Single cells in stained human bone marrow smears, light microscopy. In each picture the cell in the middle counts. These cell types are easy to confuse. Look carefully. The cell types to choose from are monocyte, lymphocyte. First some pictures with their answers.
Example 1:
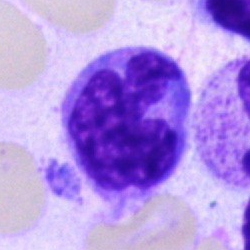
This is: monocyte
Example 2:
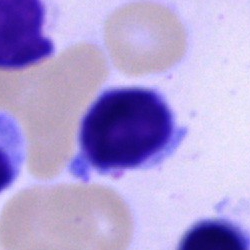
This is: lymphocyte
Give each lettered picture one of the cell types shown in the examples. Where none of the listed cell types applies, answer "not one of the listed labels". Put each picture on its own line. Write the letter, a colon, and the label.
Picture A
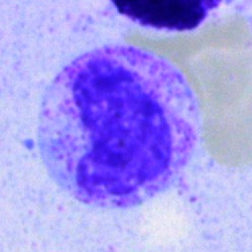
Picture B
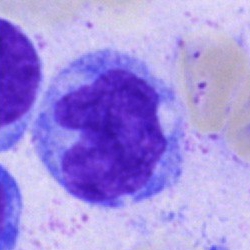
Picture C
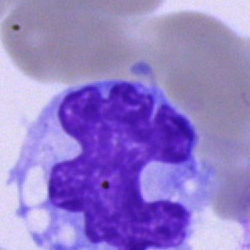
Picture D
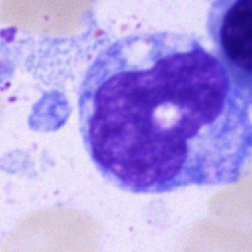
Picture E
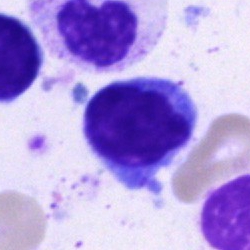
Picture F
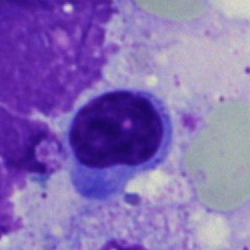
A: not one of the listed labels
B: monocyte
C: monocyte
D: monocyte
E: lymphocyte
F: lymphocyte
